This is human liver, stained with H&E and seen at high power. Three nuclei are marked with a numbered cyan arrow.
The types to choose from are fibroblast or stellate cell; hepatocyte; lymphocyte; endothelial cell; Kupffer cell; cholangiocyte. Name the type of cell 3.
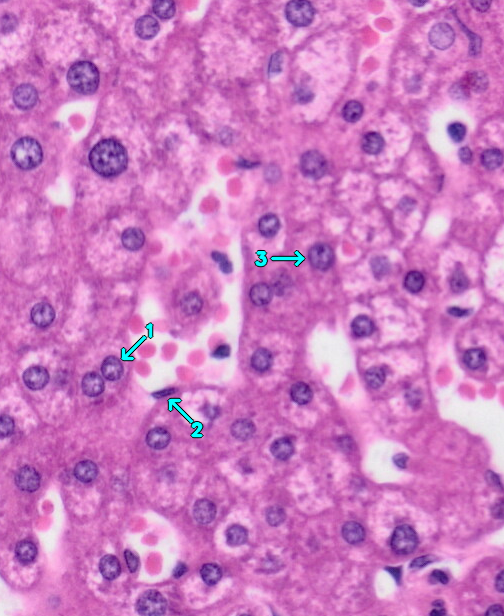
hepatocyte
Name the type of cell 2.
endothelial cell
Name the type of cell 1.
hepatocyte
